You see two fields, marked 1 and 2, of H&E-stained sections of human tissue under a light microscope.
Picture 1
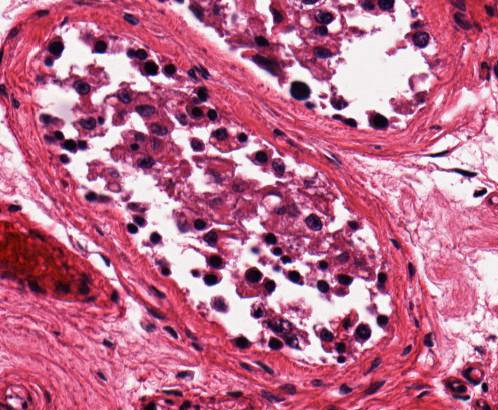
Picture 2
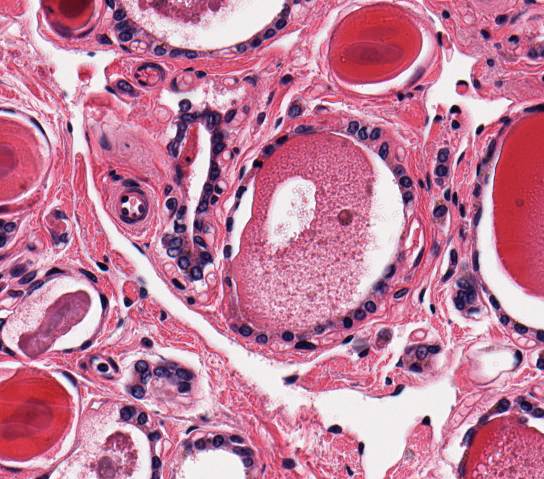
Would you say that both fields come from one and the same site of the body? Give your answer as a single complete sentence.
No: picture 1 comes from the testis, but picture 2 comes from the thyroid.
